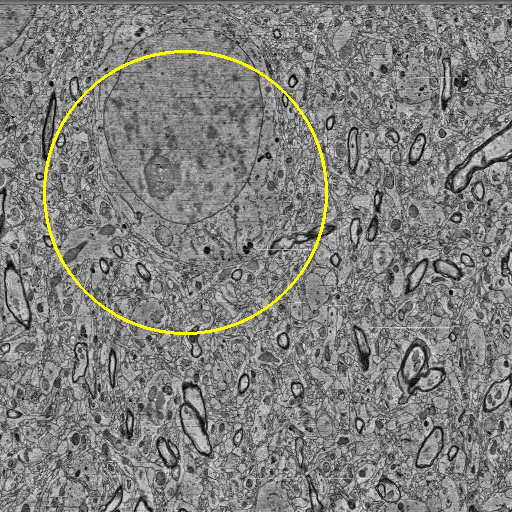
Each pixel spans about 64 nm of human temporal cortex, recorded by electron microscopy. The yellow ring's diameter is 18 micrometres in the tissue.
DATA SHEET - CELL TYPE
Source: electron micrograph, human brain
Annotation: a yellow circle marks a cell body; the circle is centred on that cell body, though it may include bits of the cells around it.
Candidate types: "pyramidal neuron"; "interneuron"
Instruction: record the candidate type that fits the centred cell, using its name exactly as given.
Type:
pyramidal neuron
